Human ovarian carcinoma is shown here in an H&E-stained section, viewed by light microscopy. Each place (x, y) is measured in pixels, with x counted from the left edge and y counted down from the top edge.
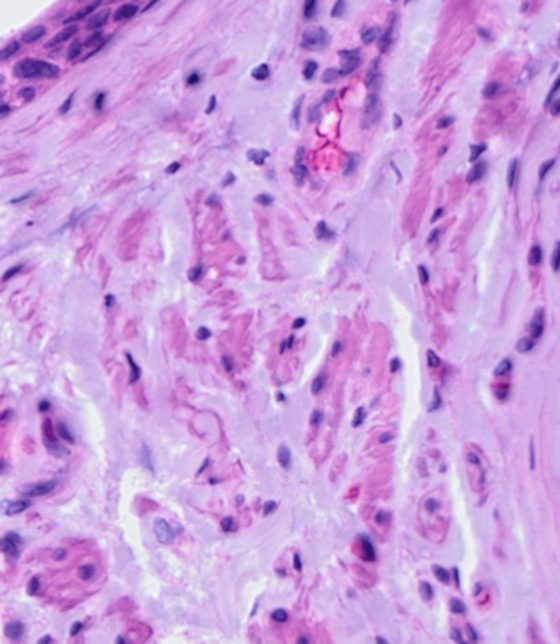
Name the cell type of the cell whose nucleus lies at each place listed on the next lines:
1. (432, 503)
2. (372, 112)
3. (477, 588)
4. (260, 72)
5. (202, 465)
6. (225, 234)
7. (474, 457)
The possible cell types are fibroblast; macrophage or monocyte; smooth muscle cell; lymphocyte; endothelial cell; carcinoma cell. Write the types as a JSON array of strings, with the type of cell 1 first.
["smooth muscle cell", "endothelial cell", "endothelial cell", "lymphocyte", "smooth muscle cell", "smooth muscle cell", "smooth muscle cell"]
